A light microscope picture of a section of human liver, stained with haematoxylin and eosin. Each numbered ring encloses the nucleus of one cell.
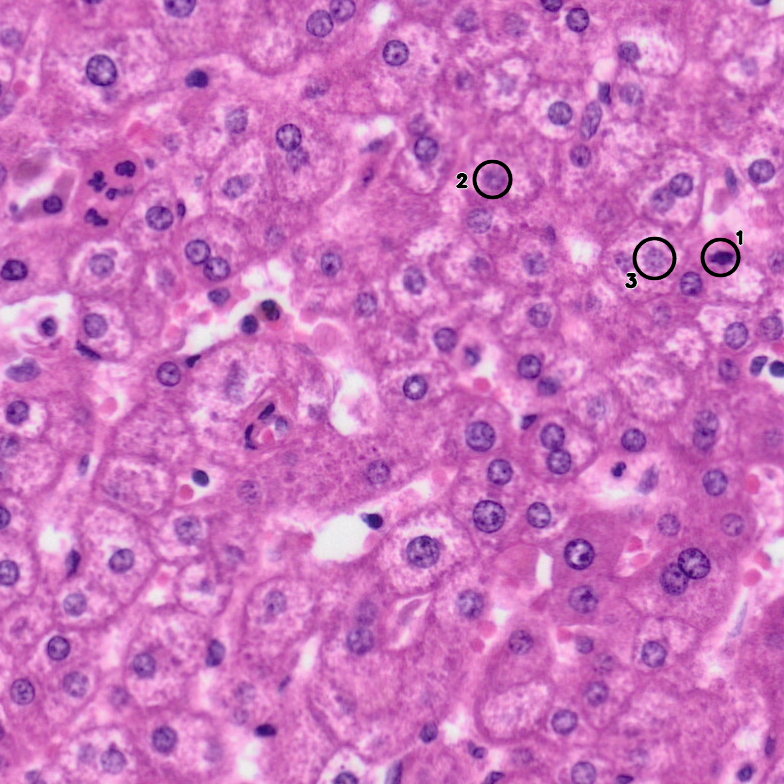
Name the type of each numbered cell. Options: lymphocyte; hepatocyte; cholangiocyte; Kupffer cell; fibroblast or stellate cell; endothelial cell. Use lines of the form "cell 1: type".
cell 1: fibroblast or stellate cell
cell 2: hepatocyte
cell 3: hepatocyte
